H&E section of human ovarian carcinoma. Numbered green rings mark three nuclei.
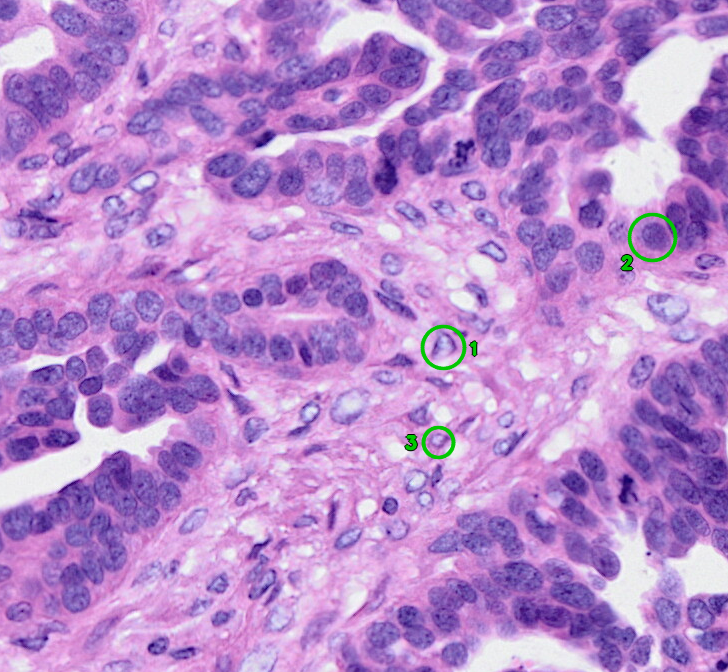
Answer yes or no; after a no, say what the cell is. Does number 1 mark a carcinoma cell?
No, it is a fibroblast.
